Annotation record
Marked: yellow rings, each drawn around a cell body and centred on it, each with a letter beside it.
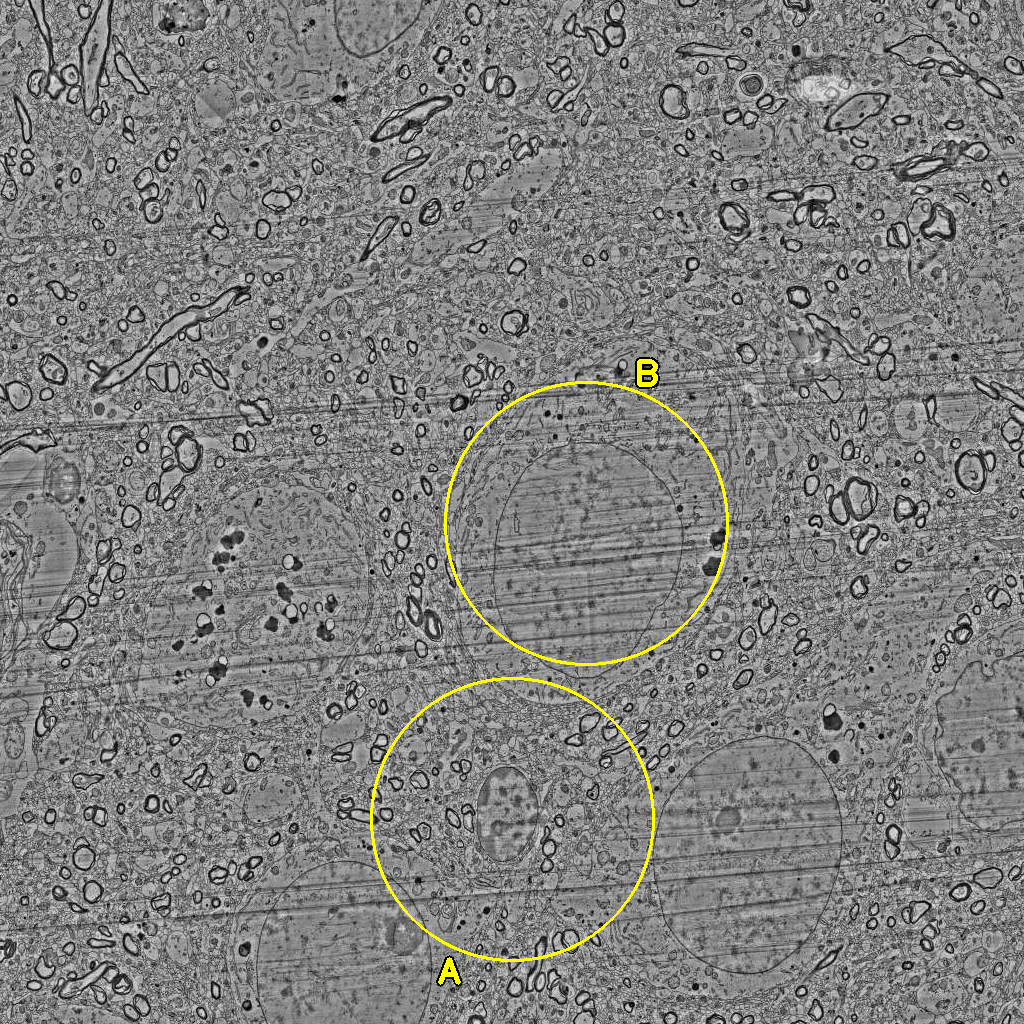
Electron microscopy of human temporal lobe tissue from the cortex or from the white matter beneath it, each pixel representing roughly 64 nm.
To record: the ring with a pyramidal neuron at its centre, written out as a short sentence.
The ring centred on it is ring B.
